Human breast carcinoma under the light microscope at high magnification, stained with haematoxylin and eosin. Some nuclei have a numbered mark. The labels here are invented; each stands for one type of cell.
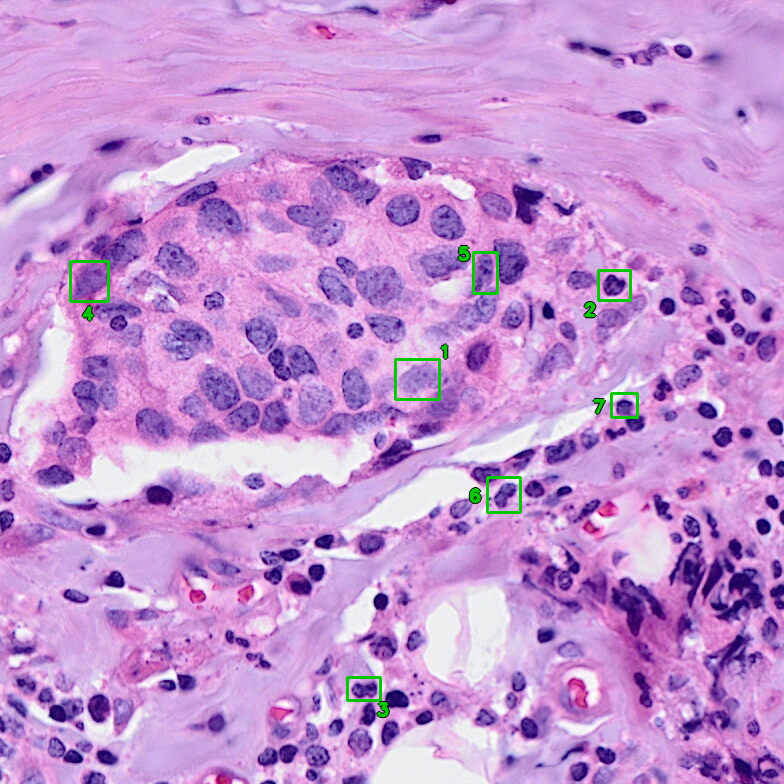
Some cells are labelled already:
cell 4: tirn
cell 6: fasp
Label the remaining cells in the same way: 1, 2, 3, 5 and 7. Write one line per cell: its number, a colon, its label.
1: tirn
2: fasp
3: fasp
5: tirn
7: fasp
